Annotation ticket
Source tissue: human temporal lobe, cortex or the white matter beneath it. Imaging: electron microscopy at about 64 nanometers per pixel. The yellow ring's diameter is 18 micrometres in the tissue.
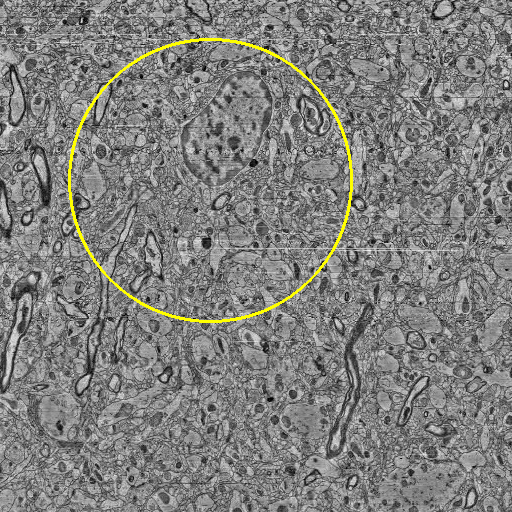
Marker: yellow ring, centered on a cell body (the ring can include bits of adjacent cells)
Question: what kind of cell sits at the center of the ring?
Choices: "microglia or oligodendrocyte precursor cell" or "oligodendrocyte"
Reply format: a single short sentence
The ring is centered on a microglial cell or oligodendrocyte precursor cell.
